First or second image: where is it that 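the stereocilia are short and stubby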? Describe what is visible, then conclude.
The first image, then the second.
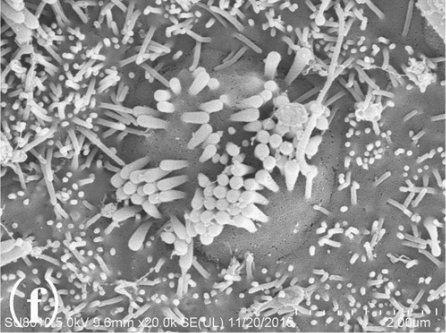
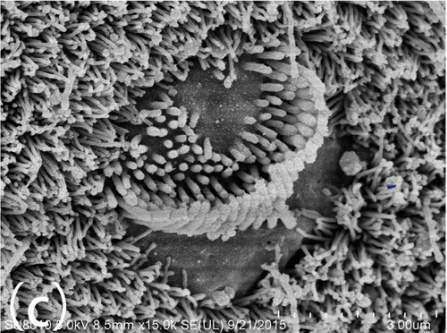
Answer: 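The first image. First image: stereocilia are short, club-ended stubs in a loose cluster. Second image: stereocilia form a tall, orderly curved row.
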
